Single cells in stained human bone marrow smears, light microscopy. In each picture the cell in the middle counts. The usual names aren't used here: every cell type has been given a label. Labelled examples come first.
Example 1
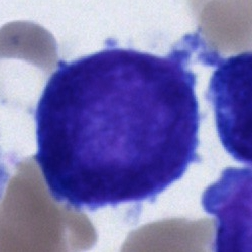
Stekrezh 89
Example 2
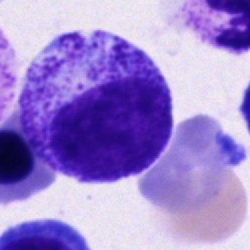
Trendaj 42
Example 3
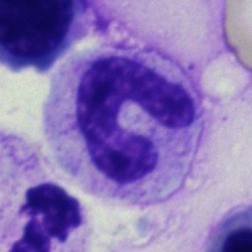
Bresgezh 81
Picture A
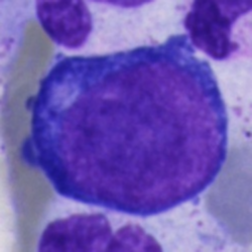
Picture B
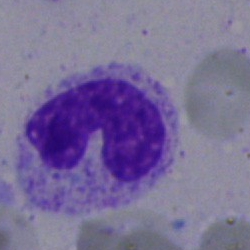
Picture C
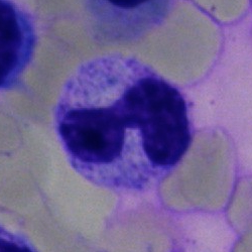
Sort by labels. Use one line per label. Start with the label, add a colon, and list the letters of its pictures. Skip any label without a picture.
Stekrezh 89: A
Bresgezh 81: B, C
